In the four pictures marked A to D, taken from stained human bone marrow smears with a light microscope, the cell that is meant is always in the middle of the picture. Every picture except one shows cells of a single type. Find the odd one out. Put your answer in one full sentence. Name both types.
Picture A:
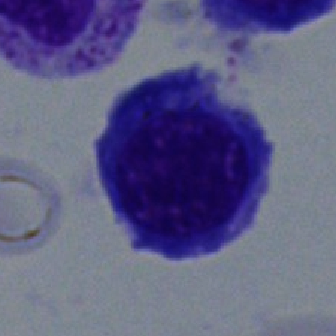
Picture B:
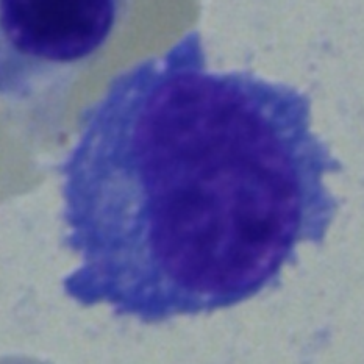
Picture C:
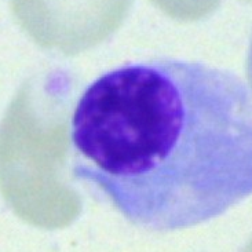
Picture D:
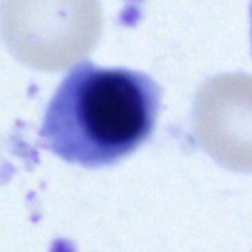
All pictures except B show erythroblasts; picture B shows a plasma cell.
